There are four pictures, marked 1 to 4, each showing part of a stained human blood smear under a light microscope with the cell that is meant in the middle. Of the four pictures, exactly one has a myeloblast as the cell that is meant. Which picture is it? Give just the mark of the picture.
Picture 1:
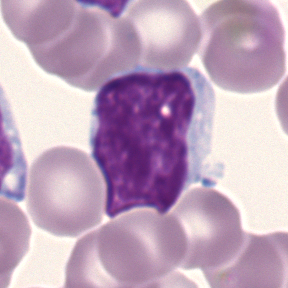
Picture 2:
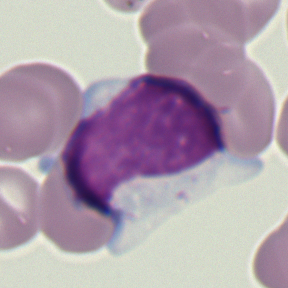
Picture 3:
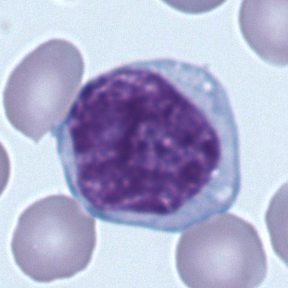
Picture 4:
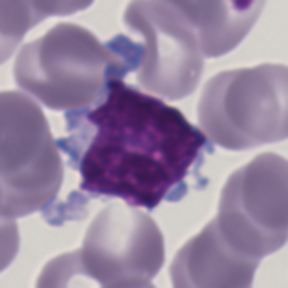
3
